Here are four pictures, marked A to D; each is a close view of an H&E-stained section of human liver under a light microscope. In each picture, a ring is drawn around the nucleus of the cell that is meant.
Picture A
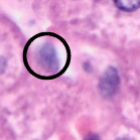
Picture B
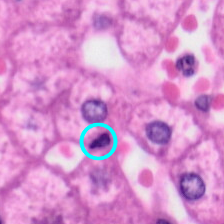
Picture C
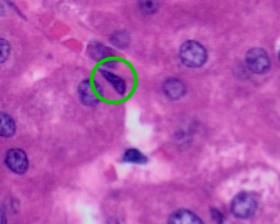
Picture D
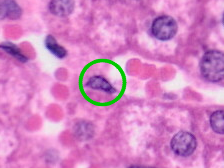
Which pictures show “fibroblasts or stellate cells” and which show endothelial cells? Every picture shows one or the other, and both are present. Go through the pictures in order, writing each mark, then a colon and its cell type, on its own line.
A: endothelial cell
B: fibroblast or stellate cell
C: fibroblast or stellate cell
D: fibroblast or stellate cell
